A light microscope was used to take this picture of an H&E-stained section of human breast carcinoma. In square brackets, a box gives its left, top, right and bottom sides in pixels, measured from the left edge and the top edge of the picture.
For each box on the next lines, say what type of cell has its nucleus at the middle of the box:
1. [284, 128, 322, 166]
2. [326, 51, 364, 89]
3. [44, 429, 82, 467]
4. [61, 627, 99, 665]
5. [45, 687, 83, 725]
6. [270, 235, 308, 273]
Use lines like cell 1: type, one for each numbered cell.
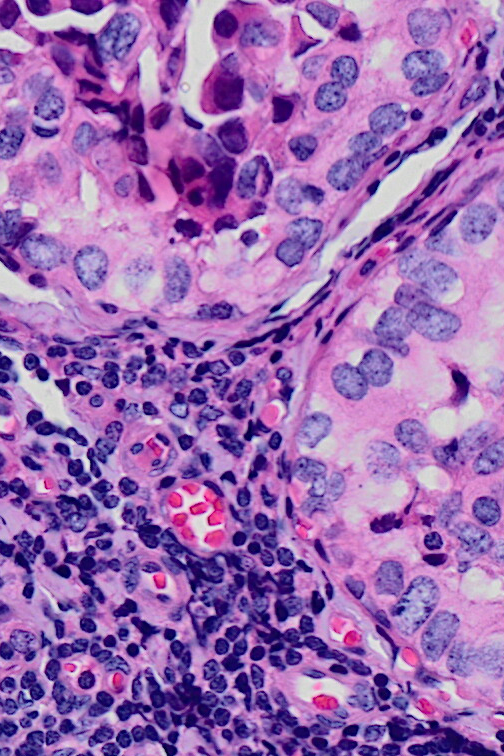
cell 1: carcinoma cell
cell 2: carcinoma cell
cell 3: lymphocyte
cell 4: lymphocyte
cell 5: lymphocyte
cell 6: carcinoma cell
